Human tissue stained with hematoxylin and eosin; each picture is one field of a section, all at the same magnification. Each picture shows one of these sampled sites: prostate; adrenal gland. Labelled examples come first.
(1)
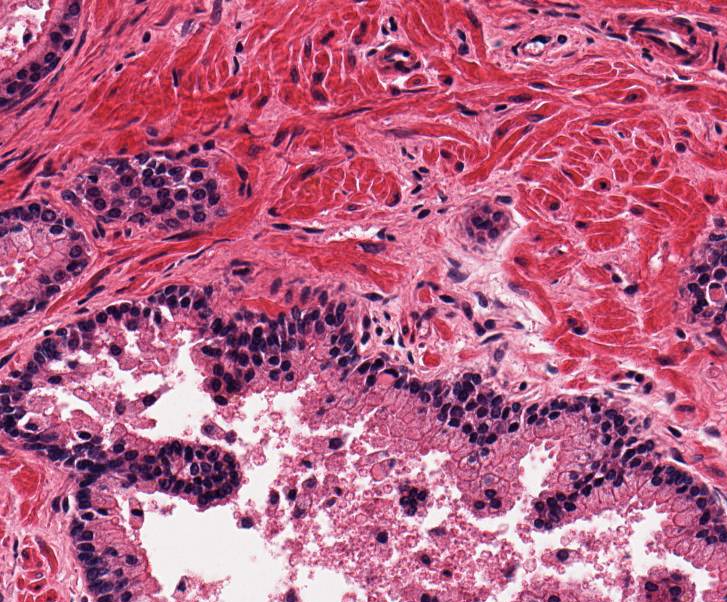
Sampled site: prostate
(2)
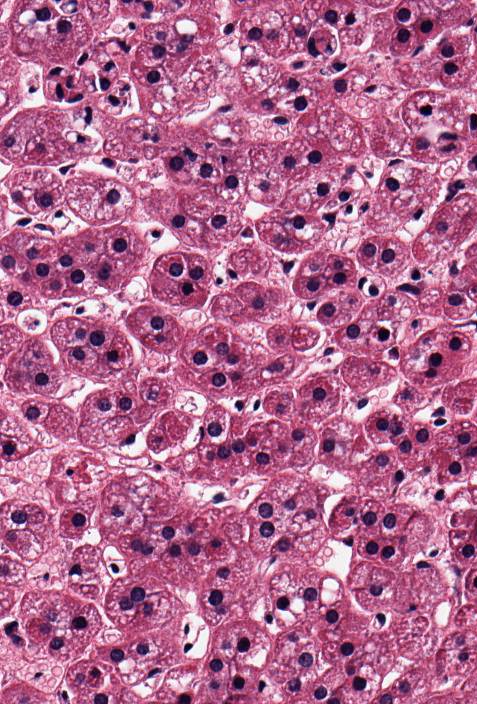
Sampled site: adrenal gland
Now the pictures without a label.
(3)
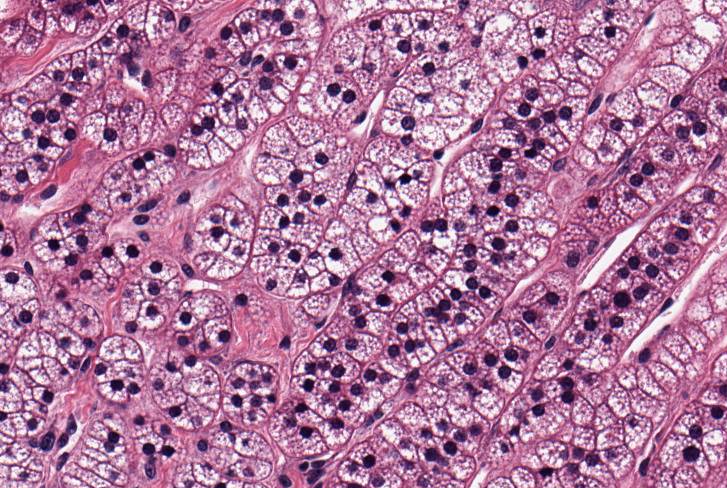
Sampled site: adrenal gland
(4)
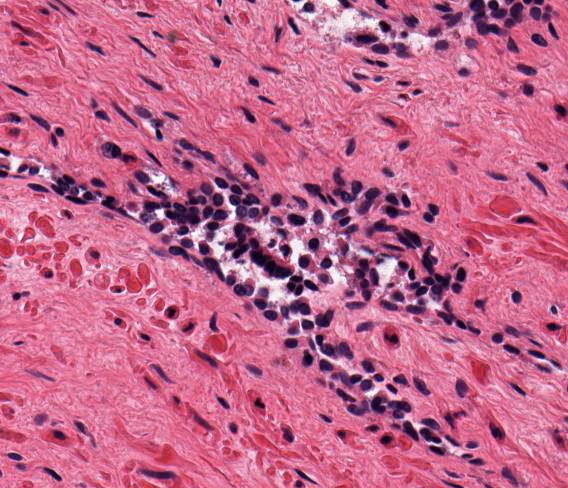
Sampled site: prostate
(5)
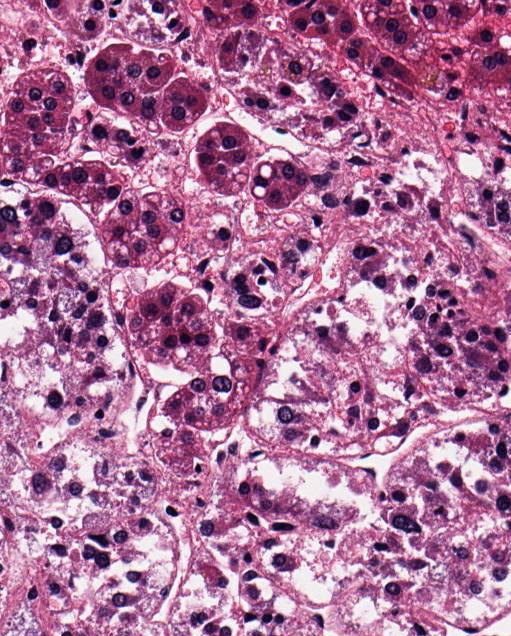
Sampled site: adrenal gland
